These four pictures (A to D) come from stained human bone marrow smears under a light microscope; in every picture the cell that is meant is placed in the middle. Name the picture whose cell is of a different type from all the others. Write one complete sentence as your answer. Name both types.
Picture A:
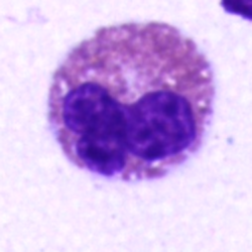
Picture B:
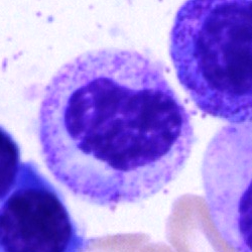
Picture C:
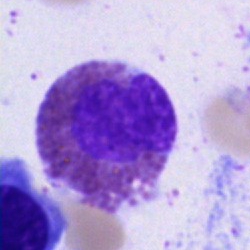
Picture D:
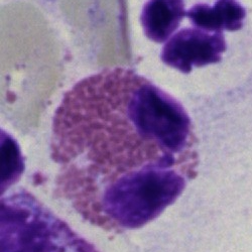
The others show eosinophils, but picture B shows a metamyelocyte.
